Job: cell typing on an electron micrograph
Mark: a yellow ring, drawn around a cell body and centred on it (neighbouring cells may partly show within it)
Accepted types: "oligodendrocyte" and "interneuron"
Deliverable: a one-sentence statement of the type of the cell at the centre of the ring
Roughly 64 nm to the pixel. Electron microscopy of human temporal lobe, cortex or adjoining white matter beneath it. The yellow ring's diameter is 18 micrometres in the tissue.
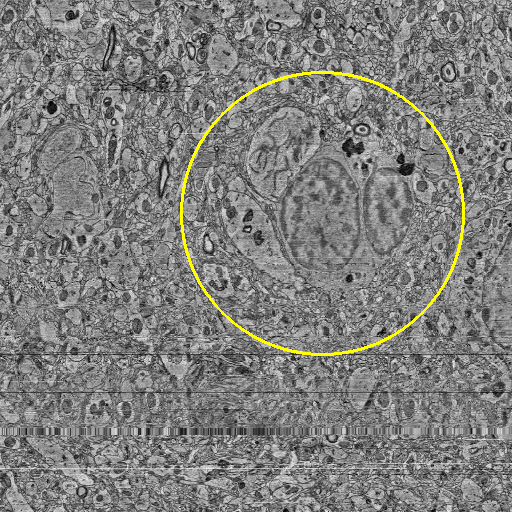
The centred cell body is that of an oligodendrocyte.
